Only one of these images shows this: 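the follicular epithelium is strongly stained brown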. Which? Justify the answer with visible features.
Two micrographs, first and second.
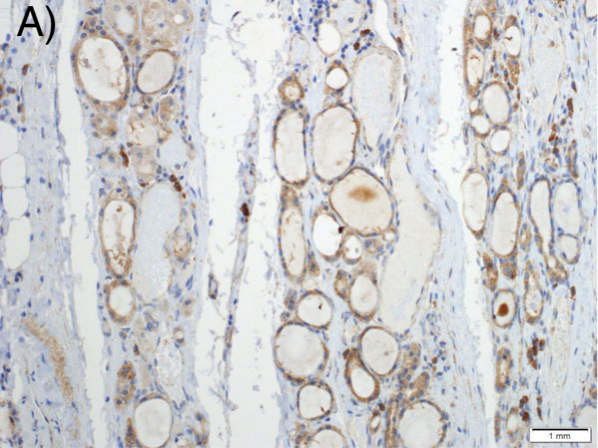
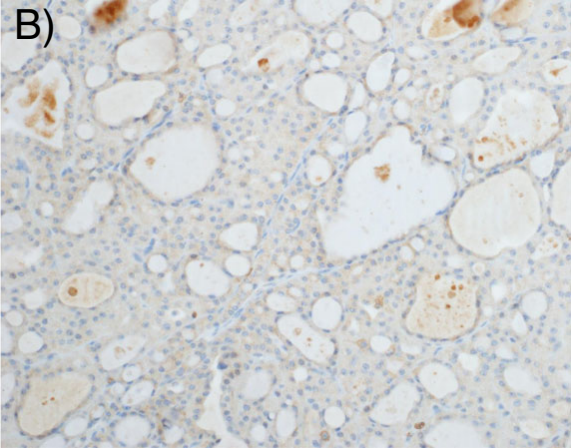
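The first image. Second image: the epithelial cells are pale tan, with brown mostly confined to clumps inside some colloid. First image: the epithelial rims of the follicles are brown, and scattered cells have dark brown cytoplasm.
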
